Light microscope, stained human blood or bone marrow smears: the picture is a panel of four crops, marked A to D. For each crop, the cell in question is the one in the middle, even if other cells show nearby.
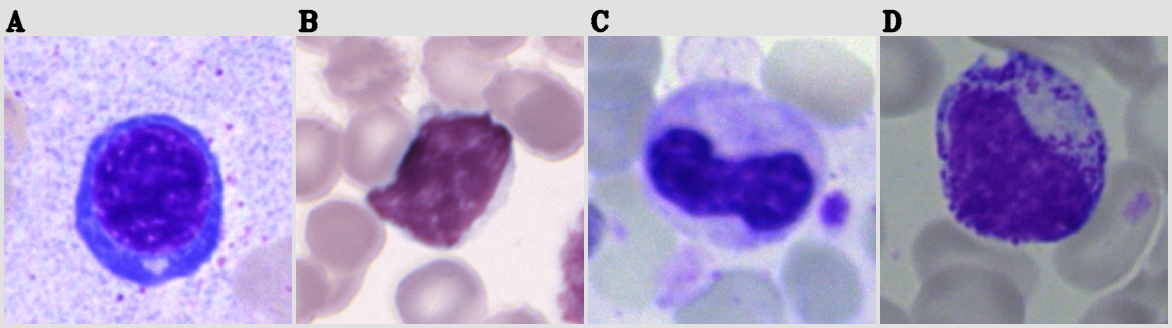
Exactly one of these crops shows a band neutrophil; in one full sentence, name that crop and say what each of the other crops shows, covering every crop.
In the set, crop C shows a band neutrophil, whereas crop A is an erythroblast, crop B is a lymphocyte and crop D is a myelocyte.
